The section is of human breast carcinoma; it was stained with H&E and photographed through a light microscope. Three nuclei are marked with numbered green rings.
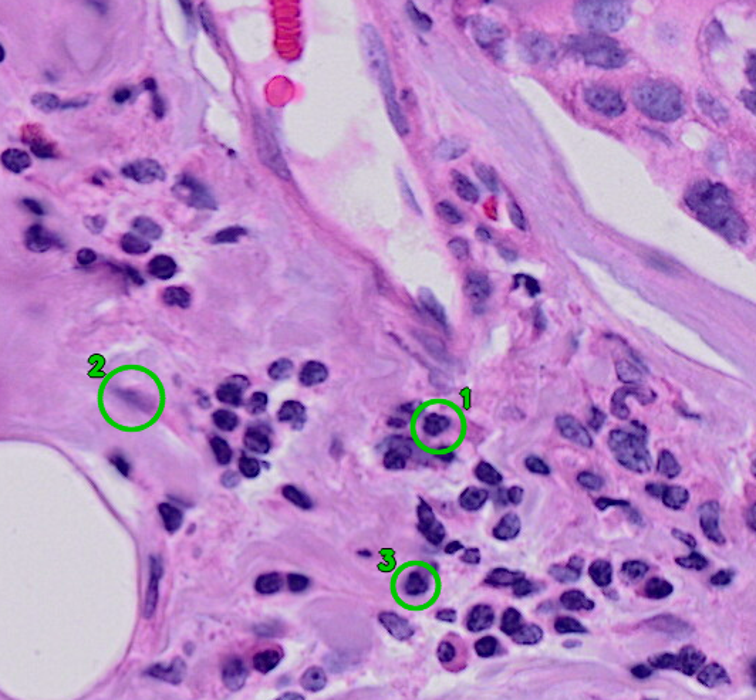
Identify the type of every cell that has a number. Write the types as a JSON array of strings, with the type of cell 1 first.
["lymphocyte", "fibroblast", "lymphocyte"]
